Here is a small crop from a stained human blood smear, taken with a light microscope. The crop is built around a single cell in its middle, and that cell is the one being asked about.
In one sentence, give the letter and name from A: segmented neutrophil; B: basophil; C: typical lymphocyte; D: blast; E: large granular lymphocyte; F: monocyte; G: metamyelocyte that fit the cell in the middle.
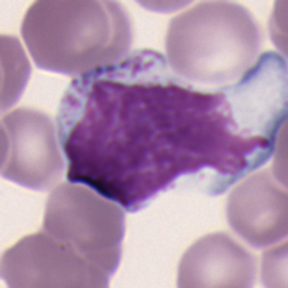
The cell placed in the middle is a large granular lymphocyte; option E is correct.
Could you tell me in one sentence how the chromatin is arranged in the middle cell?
No coarse chromatin clumps are present; the pattern is fine.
